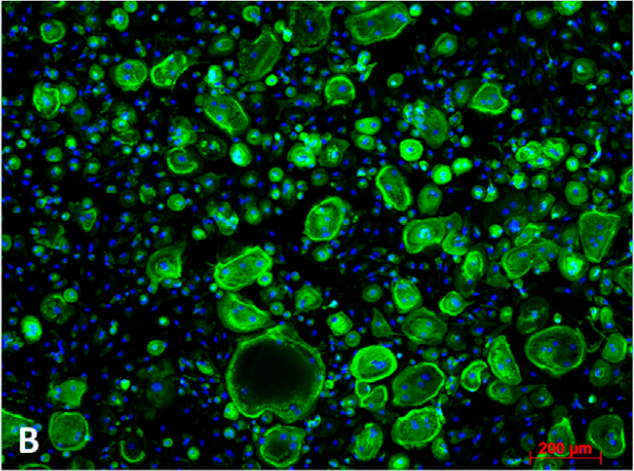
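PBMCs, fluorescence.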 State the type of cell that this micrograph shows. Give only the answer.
osteoclast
